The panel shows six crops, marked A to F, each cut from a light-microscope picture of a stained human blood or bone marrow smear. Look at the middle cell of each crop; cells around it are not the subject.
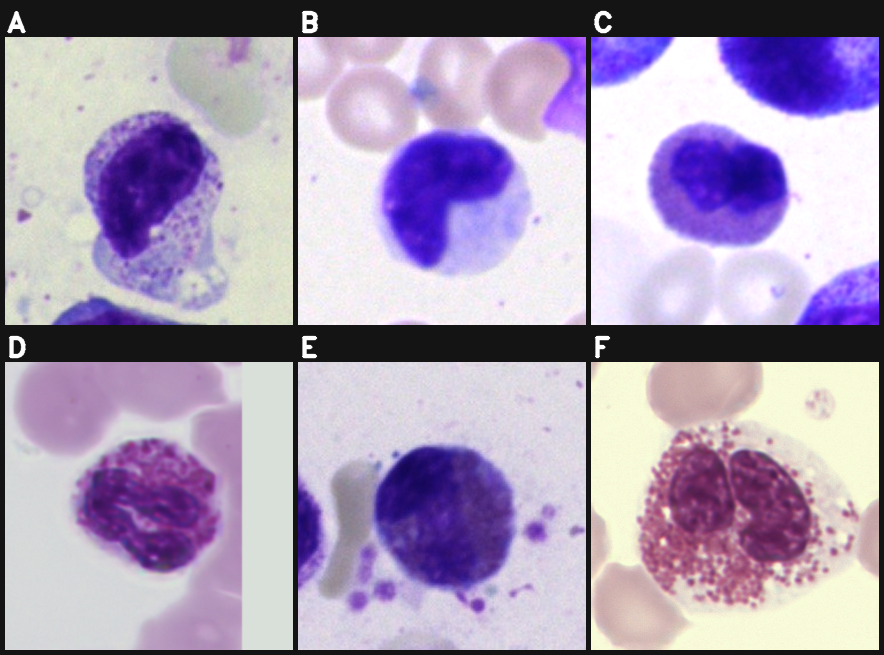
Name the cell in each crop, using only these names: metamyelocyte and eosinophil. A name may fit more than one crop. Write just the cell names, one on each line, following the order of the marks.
metamyelocyte
metamyelocyte
eosinophil
eosinophil
eosinophil
eosinophil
